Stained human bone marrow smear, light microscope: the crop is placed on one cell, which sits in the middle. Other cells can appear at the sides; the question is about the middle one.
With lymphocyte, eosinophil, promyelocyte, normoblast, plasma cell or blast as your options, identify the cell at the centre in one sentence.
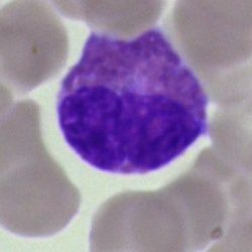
The middle of this crop holds an eosinophil.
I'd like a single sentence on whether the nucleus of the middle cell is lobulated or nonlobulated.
See how the nucleus sits as one compact round, oval or kidney-shaped mass.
